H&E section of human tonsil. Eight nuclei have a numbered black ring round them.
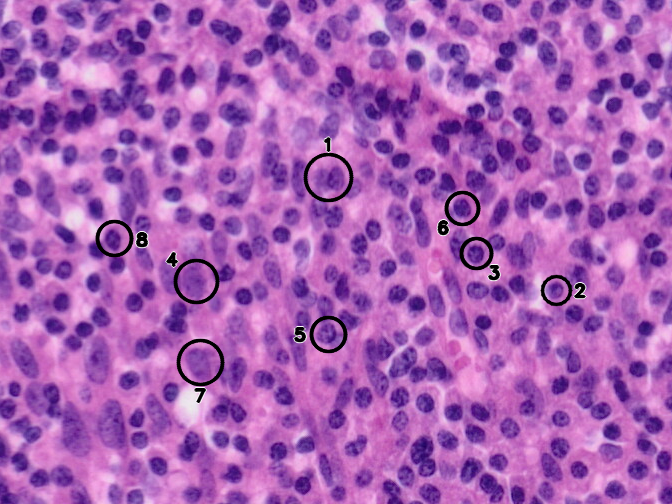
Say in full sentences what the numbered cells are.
Cell 1 is a squamous epithelial cell, cell 2 is a plasma cell, cell 3 is a plasma cell, cell 4 is a squamous epithelial cell, cell 5 is a plasma cell, cell 6 is a plasma cell, cell 7 is a squamous epithelial cell and cell 8 is a plasma cell.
